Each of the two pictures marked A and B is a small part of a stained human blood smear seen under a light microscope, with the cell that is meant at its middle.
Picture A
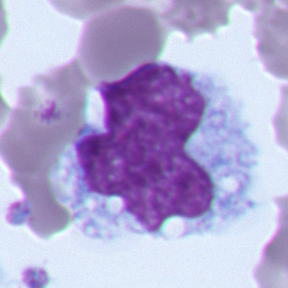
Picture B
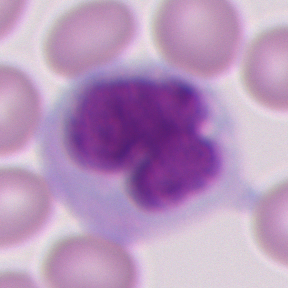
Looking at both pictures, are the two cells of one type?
yes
